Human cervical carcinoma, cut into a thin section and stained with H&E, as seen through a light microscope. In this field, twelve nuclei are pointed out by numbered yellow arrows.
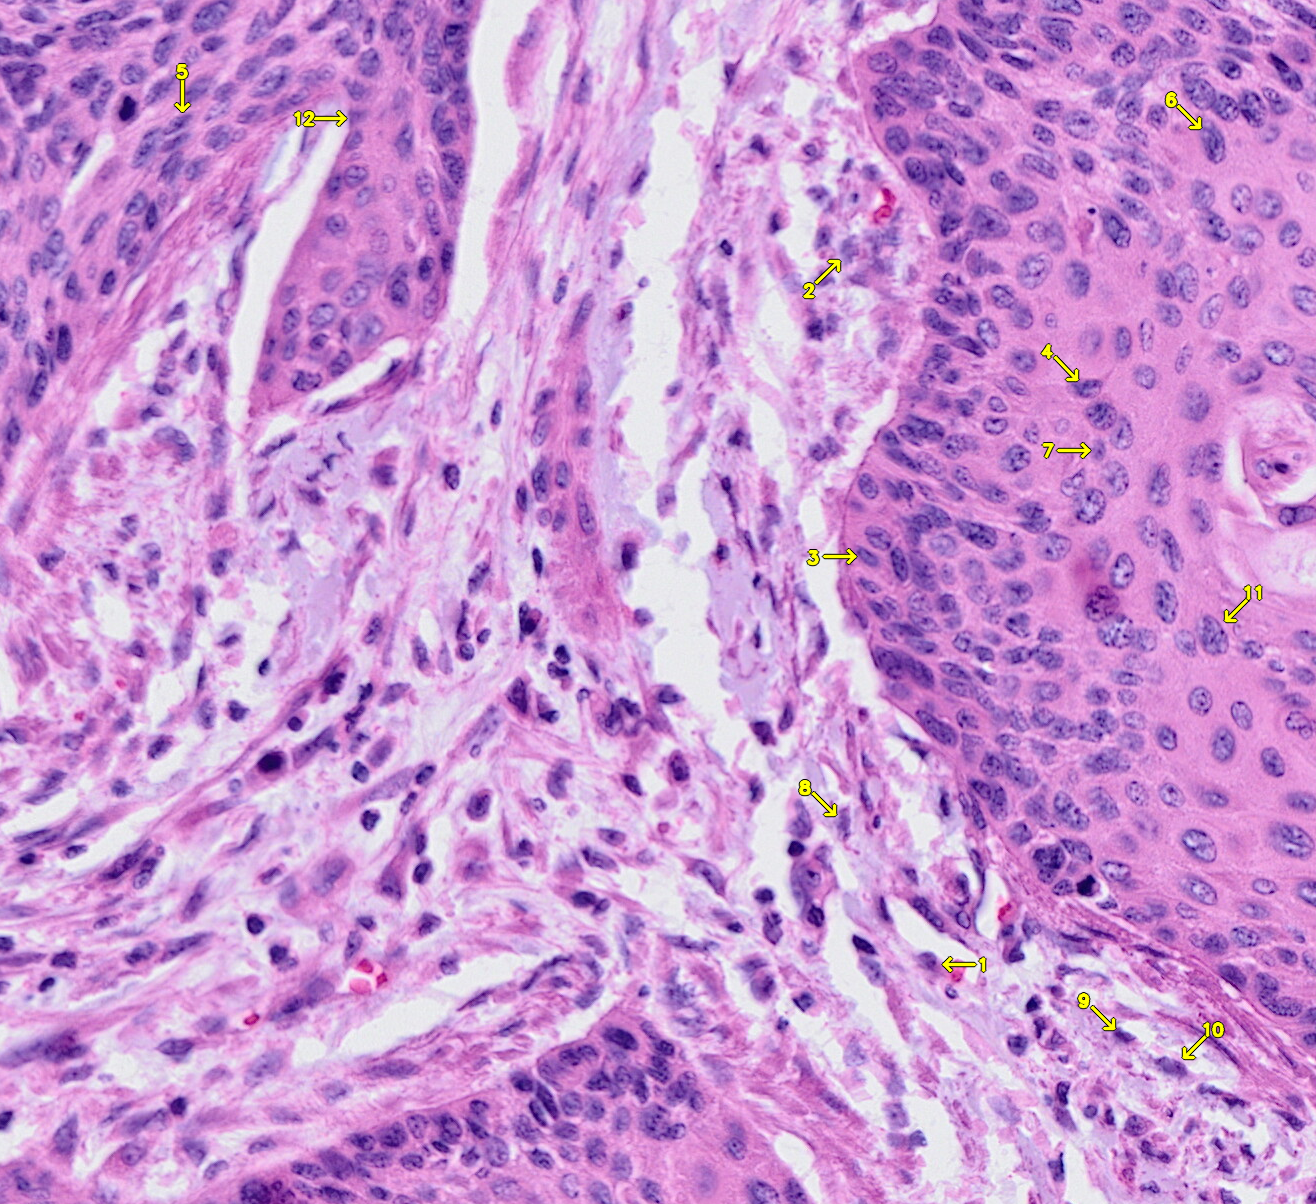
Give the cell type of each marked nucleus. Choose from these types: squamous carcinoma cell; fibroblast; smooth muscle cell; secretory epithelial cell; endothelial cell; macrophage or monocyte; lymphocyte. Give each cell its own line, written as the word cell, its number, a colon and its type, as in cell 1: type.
cell 1: endothelial cell
cell 2: fibroblast
cell 3: squamous carcinoma cell
cell 4: squamous carcinoma cell
cell 5: squamous carcinoma cell
cell 6: squamous carcinoma cell
cell 7: squamous carcinoma cell
cell 8: fibroblast
cell 9: fibroblast
cell 10: fibroblast
cell 11: squamous carcinoma cell
cell 12: squamous carcinoma cell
